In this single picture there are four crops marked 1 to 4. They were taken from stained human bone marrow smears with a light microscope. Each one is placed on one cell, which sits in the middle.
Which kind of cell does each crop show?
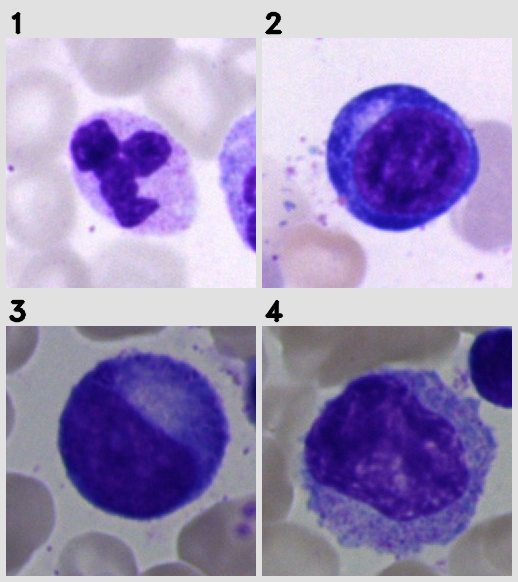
1: neutrophil
2: proerythroblast
3: promyelocyte
4: promyelocyte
